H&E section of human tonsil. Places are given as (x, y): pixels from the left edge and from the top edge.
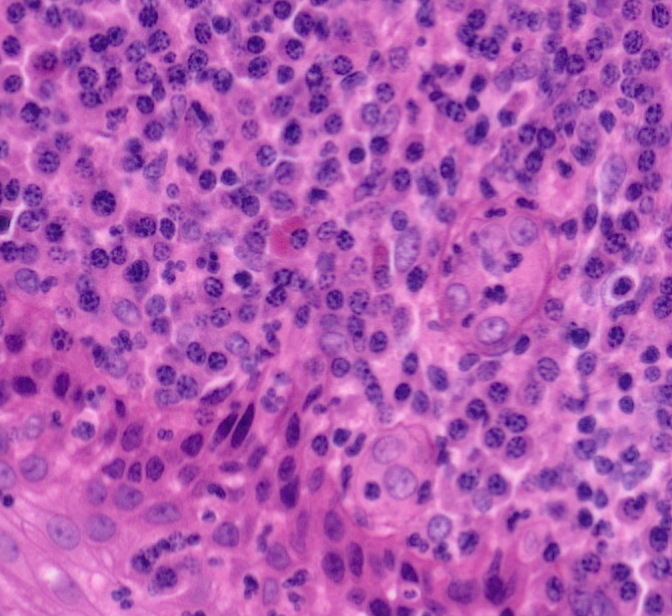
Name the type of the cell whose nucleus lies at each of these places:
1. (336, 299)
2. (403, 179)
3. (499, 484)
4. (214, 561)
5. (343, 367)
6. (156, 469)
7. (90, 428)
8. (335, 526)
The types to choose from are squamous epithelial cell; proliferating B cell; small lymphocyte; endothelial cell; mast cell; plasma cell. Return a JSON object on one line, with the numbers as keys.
{"1": "plasma cell", "2": "plasma cell", "3": "plasma cell", "4": "squamous epithelial cell", "5": "plasma cell", "6": "squamous epithelial cell", "7": "squamous epithelial cell", "8": "squamous epithelial cell"}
